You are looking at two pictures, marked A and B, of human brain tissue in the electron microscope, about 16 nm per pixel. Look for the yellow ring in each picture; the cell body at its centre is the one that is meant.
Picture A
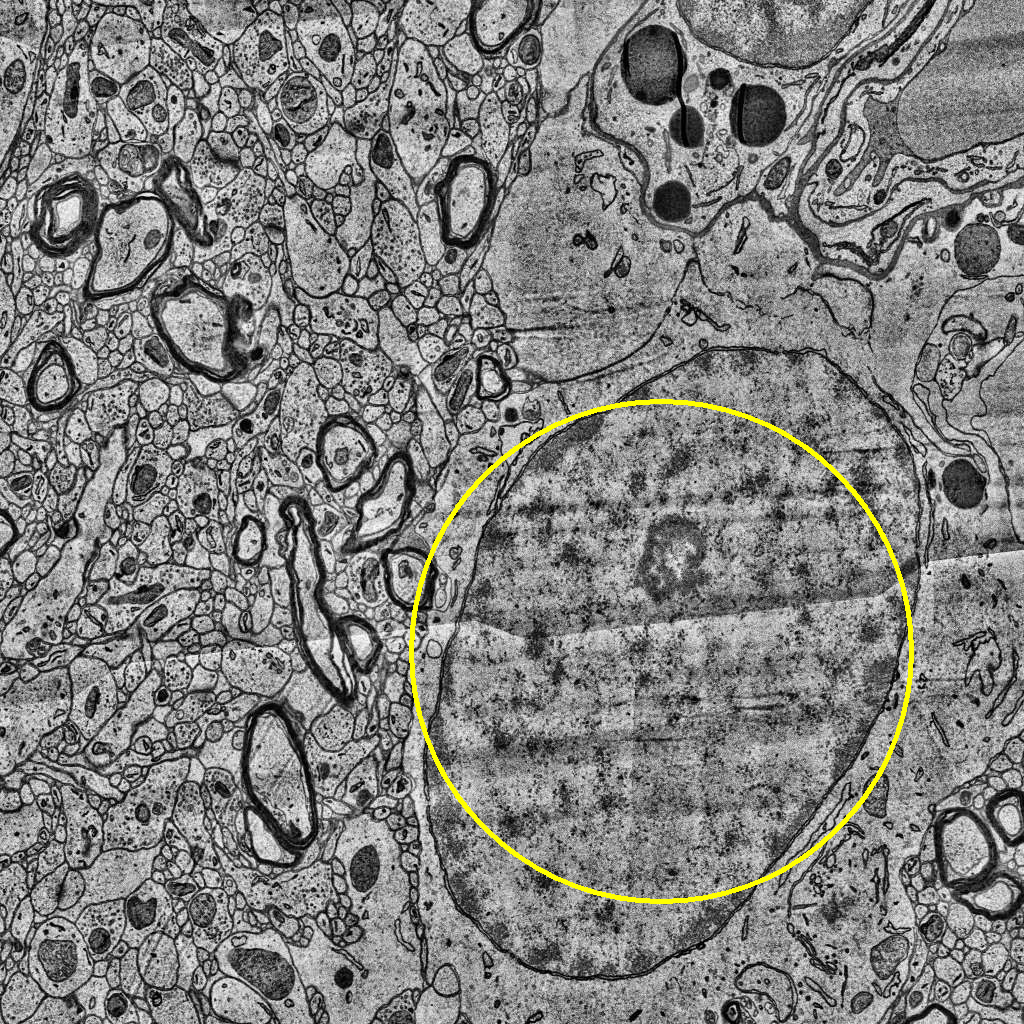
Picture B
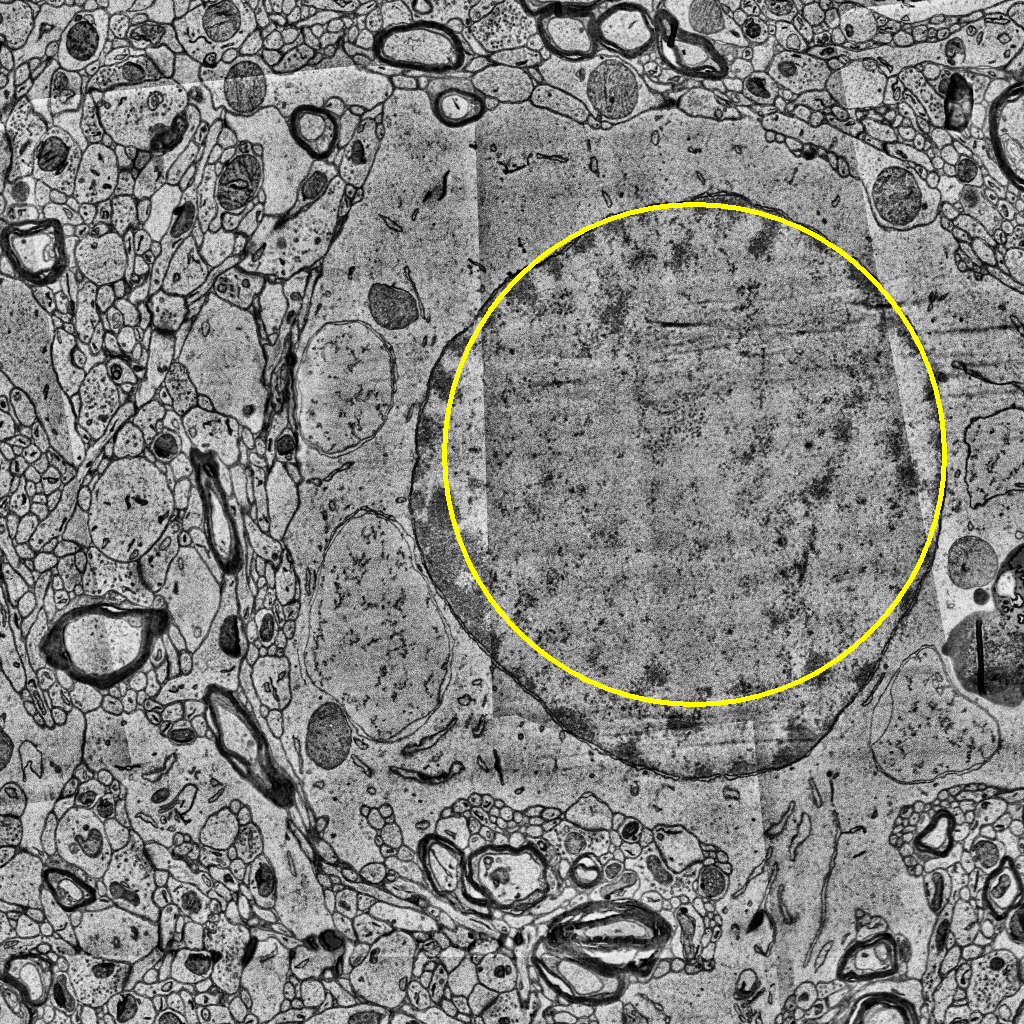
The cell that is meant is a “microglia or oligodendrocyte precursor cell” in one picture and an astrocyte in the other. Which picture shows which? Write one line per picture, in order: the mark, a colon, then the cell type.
A: microglia or oligodendrocyte precursor cell
B: astrocyte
